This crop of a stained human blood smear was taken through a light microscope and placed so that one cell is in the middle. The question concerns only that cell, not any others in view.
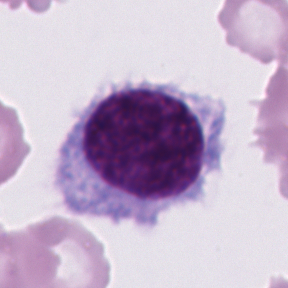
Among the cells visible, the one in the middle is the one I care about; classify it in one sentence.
Present in the middle of the crop is a hairy cell.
